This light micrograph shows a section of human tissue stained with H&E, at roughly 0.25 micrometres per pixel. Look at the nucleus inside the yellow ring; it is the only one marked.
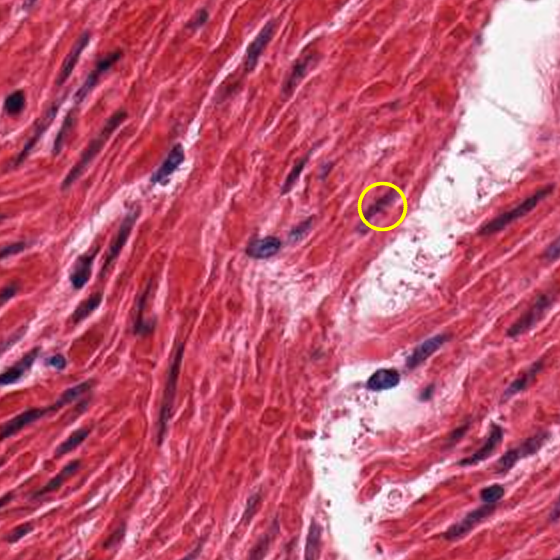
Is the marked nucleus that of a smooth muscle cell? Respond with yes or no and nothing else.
yes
